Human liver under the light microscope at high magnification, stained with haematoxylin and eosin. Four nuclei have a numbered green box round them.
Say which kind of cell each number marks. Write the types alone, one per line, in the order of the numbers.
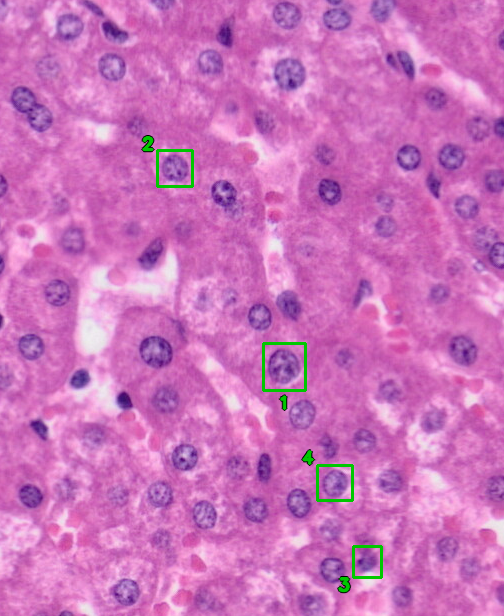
hepatocyte
hepatocyte
fibroblast or stellate cell
hepatocyte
